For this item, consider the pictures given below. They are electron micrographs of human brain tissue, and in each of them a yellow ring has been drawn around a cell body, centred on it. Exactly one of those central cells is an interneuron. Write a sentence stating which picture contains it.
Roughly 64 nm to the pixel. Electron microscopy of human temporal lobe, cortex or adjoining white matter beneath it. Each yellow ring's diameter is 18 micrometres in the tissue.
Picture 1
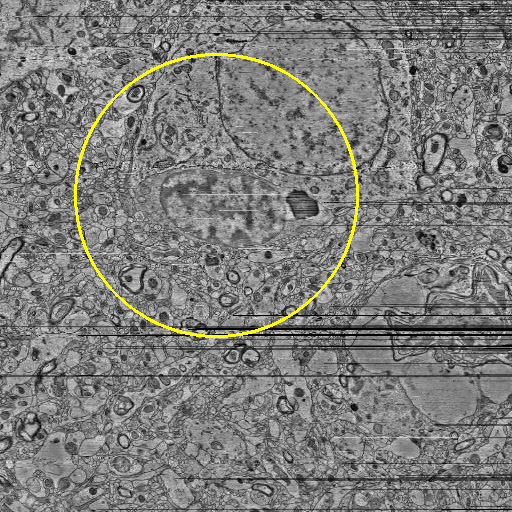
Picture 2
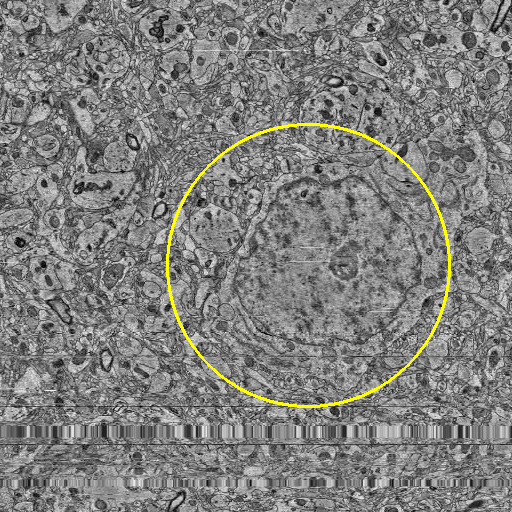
It is in Picture 2.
